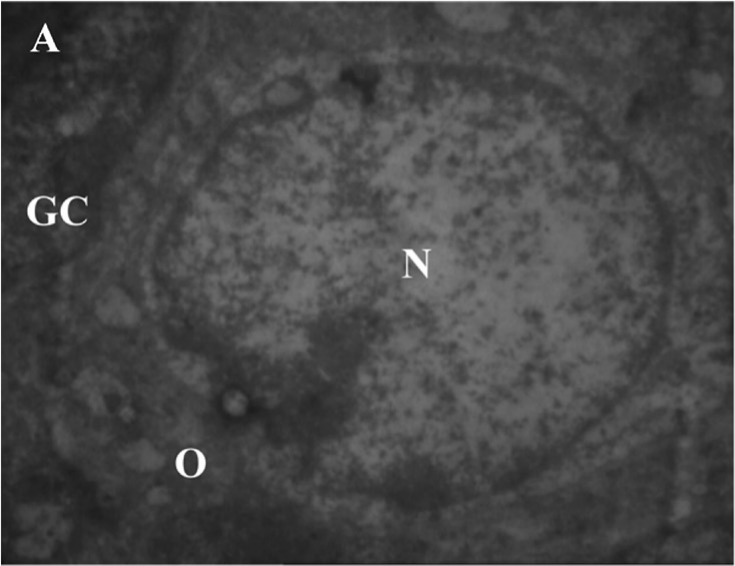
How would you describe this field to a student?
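A large, rounded nucleus fills most of the field, bounded by a distinct nuclear envelope and holding finely dispersed, granular chromatin with a few denser patches near its lower edge. Around it lies a rim of grey, finely textured cytoplasm containing small rounded organelles. At the left edge, beyond the cell's border, part of a neighbouring flattened cell can be made out. The nucleus sits slightly off the centre of a large cell.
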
